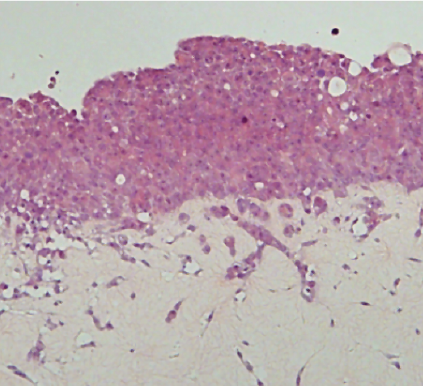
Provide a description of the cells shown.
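A thick, dense sheet of tightly packed cells with pink cytoplasm and purple nuclei covers the surface of a pale matrix. From its lower edge, irregular strands and small groups of cells reach down into the matrix, among thin elongated spindle cells.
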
